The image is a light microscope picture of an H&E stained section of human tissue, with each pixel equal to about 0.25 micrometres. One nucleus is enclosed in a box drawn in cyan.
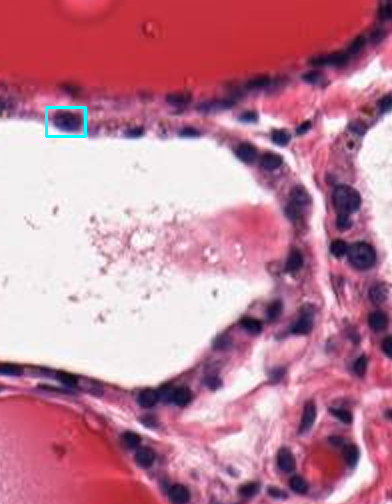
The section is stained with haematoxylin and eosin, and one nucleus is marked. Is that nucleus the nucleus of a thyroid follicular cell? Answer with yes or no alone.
yes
